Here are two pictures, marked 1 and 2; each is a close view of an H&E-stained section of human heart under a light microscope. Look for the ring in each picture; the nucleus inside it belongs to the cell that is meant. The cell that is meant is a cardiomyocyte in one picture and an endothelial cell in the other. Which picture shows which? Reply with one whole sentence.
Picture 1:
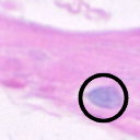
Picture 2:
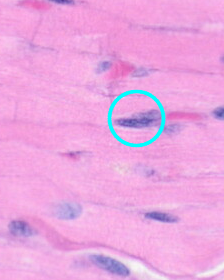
The cell in picture 1 is a cardiomyocyte, and the one in picture 2 is an endothelial cell.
